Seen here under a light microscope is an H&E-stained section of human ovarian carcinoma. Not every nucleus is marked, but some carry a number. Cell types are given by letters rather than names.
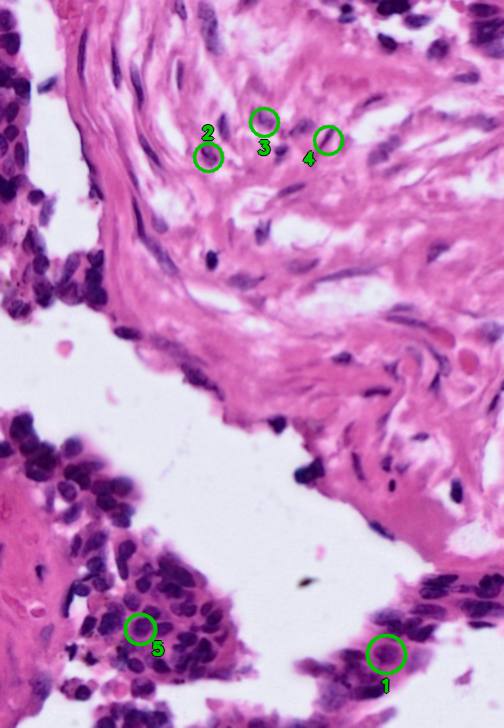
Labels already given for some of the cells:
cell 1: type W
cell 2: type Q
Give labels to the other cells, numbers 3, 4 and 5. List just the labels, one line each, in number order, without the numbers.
type Q
type Q
type W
